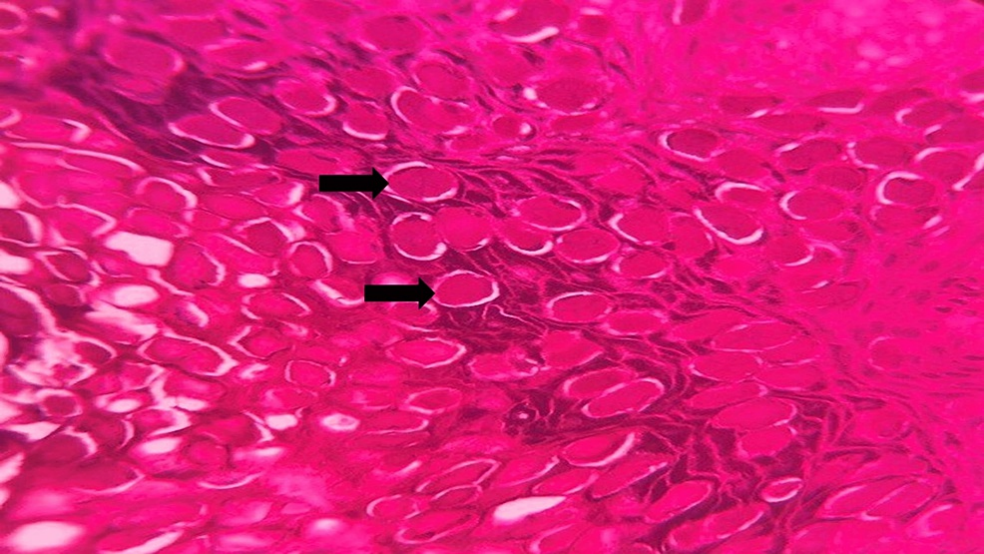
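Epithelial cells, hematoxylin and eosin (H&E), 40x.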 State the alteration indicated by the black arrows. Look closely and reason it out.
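Henderson–Patterson bodies. The arrows point to oval, homogeneous, bright pink bodies, each filling most of a cell. Many such bodies lie packed side by side across the field, separated by thin darker purple strands.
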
